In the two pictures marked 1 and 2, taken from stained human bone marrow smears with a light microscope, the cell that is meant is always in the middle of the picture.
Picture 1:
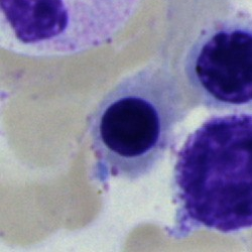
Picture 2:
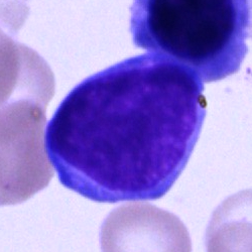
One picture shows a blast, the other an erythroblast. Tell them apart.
1: erythroblast
2: blast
